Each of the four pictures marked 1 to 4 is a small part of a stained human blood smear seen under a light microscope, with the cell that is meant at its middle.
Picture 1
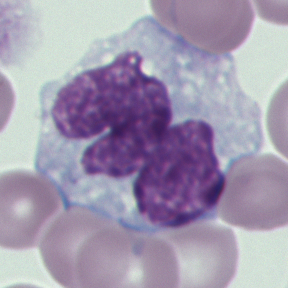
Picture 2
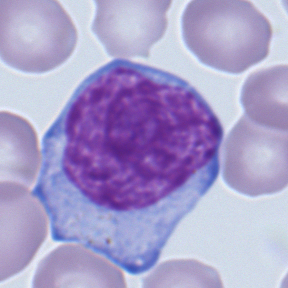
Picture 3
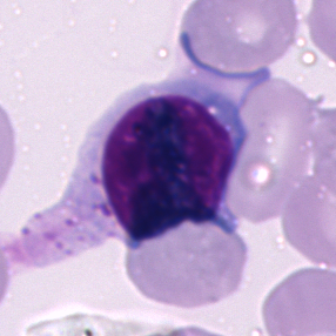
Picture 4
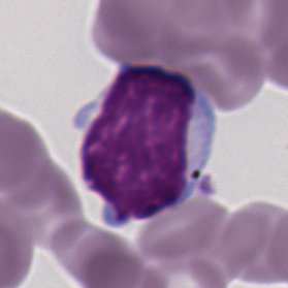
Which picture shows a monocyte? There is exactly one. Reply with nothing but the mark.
1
